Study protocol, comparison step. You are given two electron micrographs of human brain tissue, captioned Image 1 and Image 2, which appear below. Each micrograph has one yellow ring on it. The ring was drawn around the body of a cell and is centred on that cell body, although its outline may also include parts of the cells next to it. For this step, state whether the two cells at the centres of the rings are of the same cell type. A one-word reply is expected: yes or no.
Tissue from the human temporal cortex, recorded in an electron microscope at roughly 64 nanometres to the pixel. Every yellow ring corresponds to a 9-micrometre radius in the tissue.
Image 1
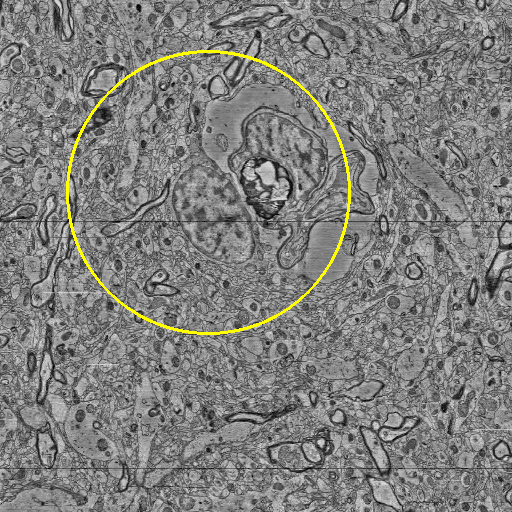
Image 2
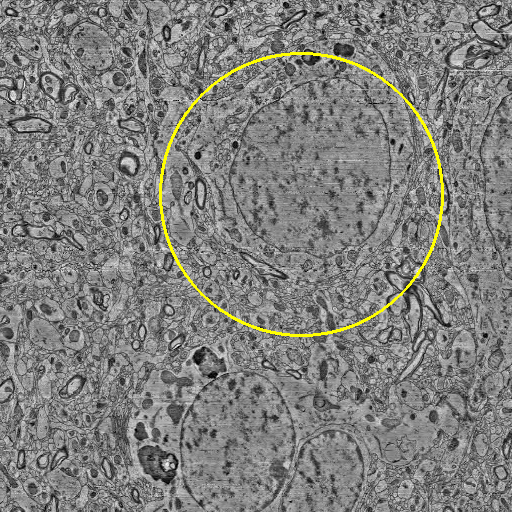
no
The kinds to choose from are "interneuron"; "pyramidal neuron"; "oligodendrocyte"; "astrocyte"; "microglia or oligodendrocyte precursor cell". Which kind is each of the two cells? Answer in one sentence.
Of the two, the first cell is an oligodendrocyte and the second cell is a pyramidal neuron.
